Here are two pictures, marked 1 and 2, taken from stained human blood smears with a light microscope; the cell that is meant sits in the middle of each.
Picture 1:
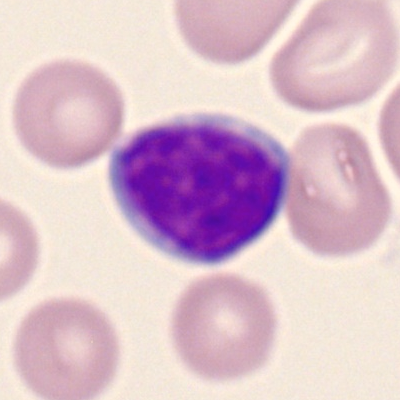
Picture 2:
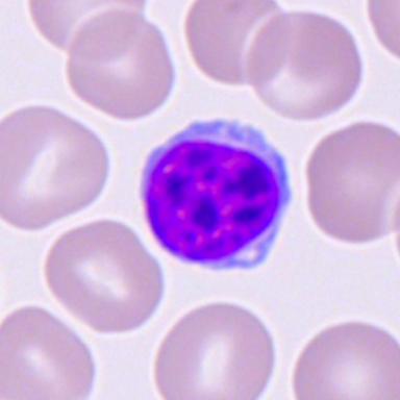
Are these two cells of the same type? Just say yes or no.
yes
